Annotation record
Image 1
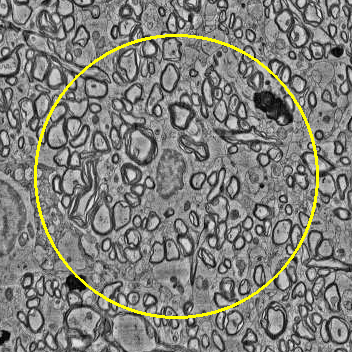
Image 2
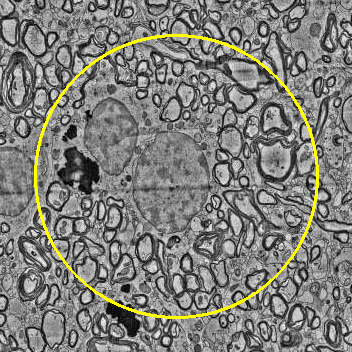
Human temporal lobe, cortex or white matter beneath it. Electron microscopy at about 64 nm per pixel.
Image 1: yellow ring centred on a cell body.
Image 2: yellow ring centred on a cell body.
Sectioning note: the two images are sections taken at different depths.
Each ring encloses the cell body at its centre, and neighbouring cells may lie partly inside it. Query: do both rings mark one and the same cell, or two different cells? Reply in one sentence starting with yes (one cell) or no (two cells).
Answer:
No, what the two rings mark is two different cells.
